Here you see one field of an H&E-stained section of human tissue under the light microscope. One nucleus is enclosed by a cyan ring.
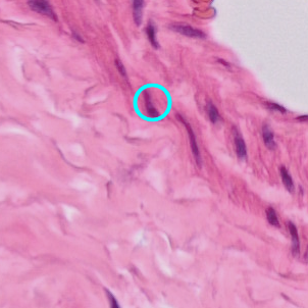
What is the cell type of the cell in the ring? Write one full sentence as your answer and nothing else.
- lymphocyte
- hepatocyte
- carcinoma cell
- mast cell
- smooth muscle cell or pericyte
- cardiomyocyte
By its classification, the cell in the ring is a smooth muscle cell or pericyte.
